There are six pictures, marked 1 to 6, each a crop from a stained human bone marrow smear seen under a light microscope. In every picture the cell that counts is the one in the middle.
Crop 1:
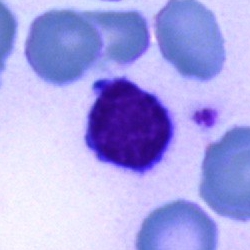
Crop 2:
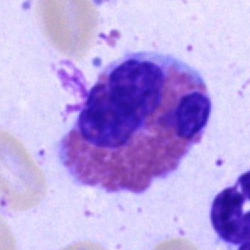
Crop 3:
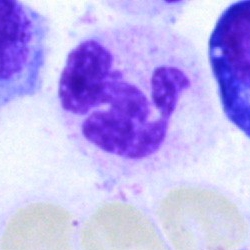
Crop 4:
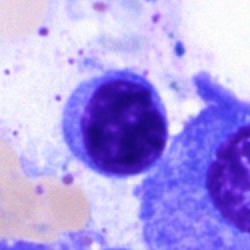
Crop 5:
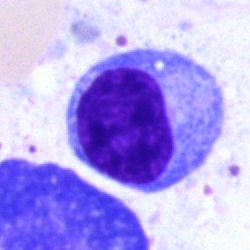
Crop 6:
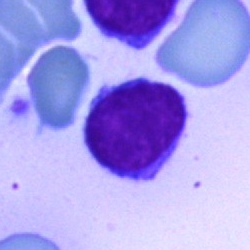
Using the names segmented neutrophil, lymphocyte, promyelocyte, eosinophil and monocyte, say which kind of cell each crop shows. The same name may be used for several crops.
1: lymphocyte
2: eosinophil
3: segmented neutrophil
4: lymphocyte
5: lymphocyte
6: lymphocyte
